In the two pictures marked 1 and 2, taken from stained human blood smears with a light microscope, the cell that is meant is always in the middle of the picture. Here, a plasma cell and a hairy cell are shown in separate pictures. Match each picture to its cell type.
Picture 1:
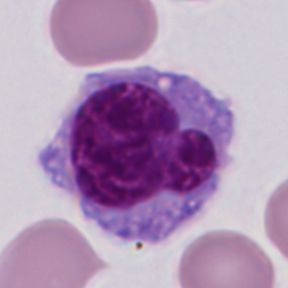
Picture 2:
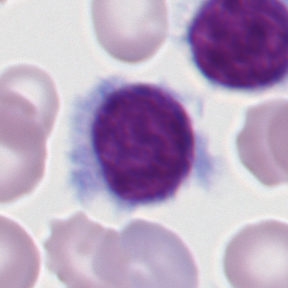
1: plasma cell
2: hairy cell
